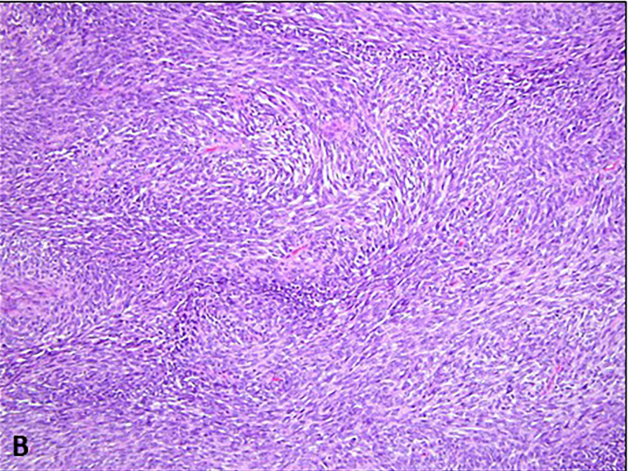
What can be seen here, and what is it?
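This tumor is composed of spindle-shaped cells arranged in fascicles. Bundles of these cells run in different directions and meet at angles, producing a swirling, herringbone-like arrangement. The field is densely cellular with little intervening stroma, and a few small thin-walled vessels with red blood cells are scattered through it.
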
